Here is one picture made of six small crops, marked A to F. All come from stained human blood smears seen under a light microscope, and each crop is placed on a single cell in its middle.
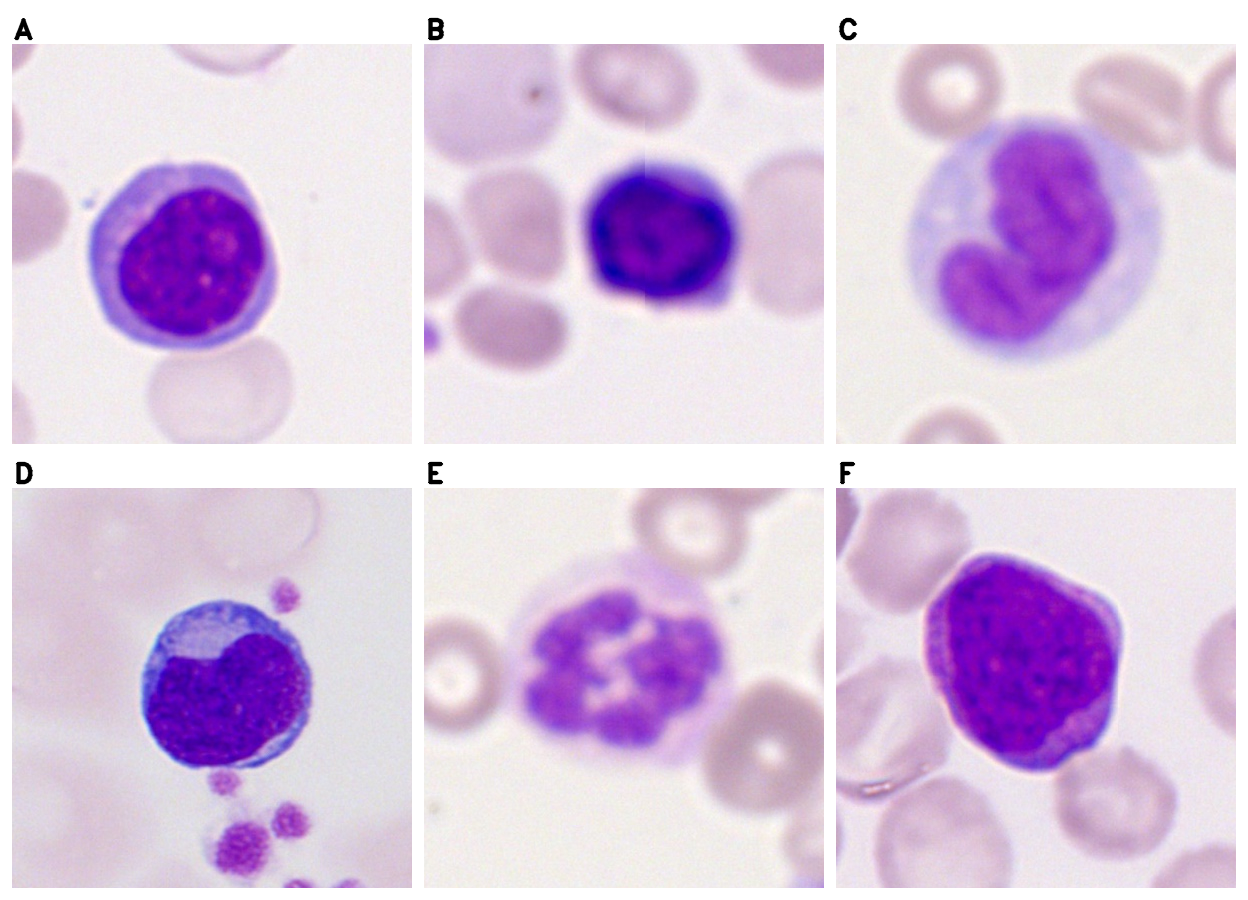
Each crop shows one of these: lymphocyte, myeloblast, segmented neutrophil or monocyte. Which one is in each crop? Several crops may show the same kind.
A: lymphocyte
B: lymphocyte
C: monocyte
D: lymphocyte
E: segmented neutrophil
F: myeloblast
